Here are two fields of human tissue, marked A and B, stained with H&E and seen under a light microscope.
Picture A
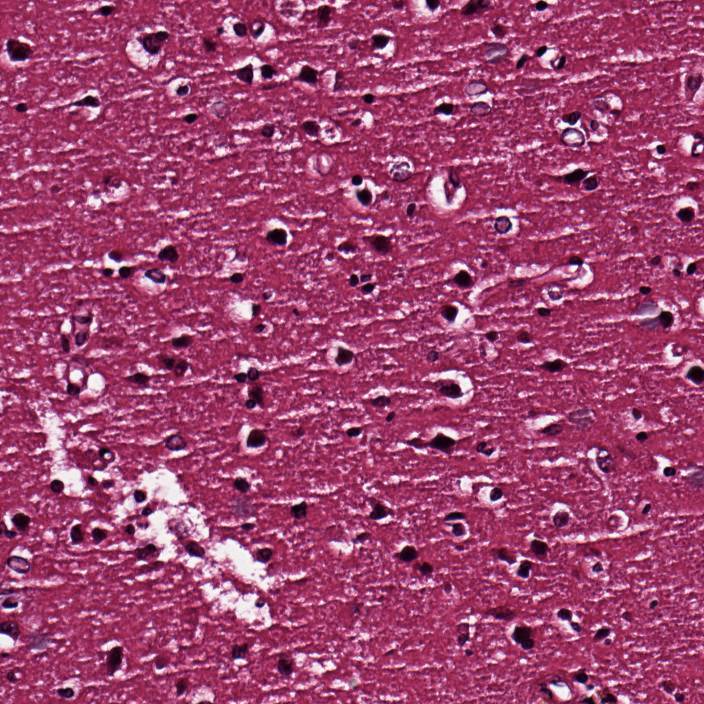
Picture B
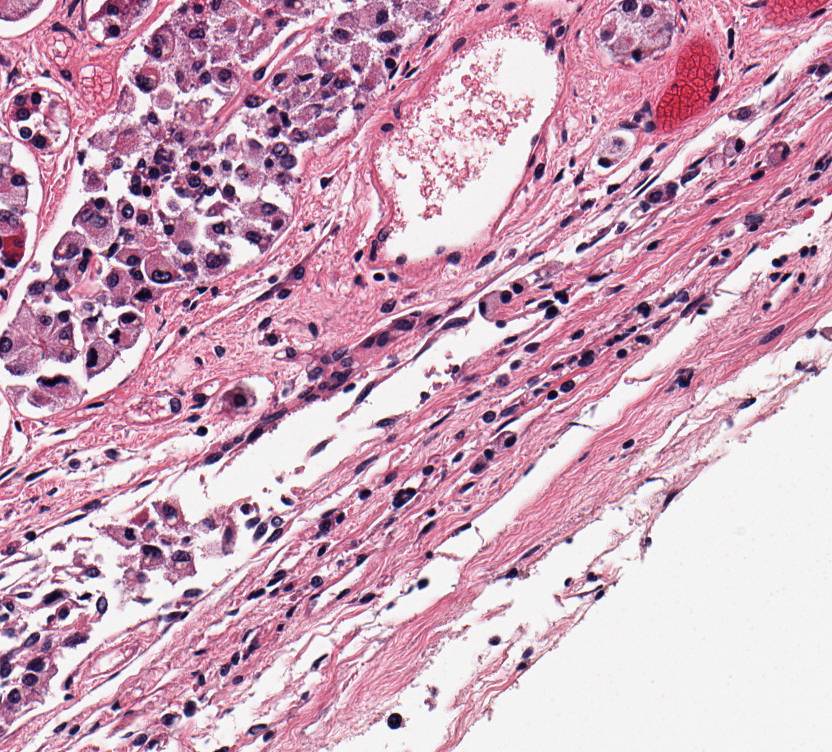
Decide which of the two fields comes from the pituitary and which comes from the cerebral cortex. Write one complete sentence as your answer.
Picture B comes from the pituitary, while picture A comes from the cerebral cortex.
